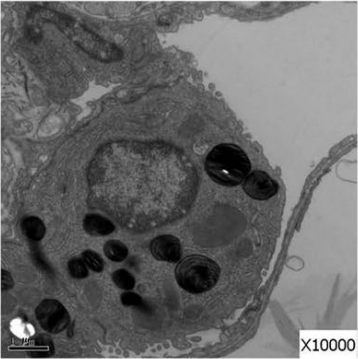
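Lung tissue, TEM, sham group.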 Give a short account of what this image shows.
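A rounded cell with an oval nucleus of fine, evenly spread chromatin fills most of the view. Its cytoplasm is moderately dense and holds several dark round bodies, many showing concentric whorls of membranes. A thin, smooth cell layer runs along one side of the cell toward a pale open space.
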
